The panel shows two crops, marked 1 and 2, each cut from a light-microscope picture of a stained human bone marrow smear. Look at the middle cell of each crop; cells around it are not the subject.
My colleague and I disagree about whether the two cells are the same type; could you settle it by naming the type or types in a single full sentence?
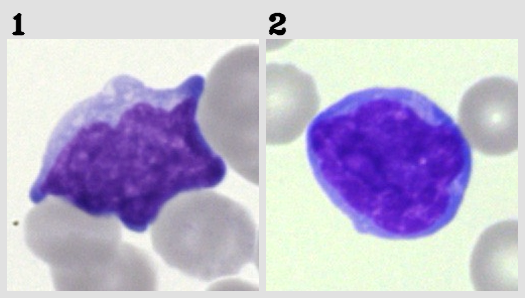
Yes, both crops alike show blasts at the centre.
